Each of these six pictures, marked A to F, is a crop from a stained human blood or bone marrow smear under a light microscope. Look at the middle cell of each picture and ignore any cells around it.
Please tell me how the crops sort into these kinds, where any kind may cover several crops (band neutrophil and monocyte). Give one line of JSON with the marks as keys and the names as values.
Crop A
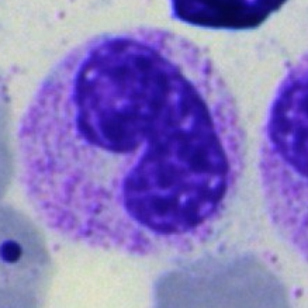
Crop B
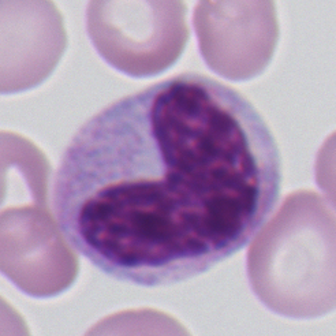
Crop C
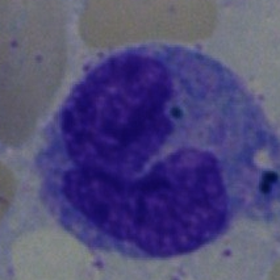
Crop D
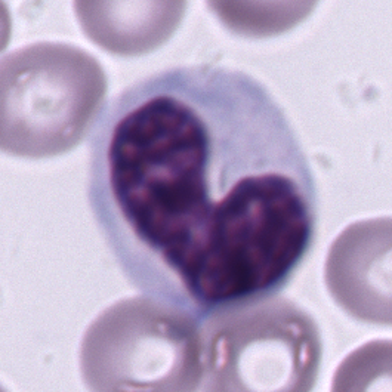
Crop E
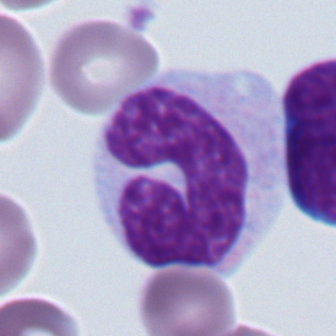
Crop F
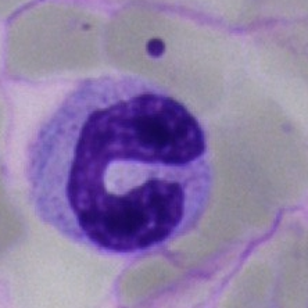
{"A": "band neutrophil", "B": "band neutrophil", "C": "monocyte", "D": "band neutrophil", "E": "band neutrophil", "F": "band neutrophil"}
